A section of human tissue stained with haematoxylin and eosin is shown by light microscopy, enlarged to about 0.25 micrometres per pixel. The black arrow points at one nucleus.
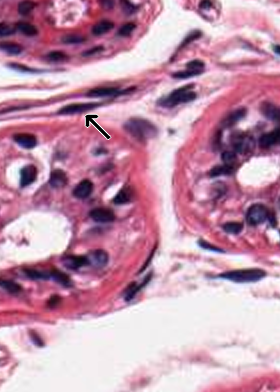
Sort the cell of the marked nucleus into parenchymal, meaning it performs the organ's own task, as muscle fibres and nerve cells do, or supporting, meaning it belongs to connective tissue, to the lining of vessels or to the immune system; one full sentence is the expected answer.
The marked nucleus is recognized as that of a supporting cell.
